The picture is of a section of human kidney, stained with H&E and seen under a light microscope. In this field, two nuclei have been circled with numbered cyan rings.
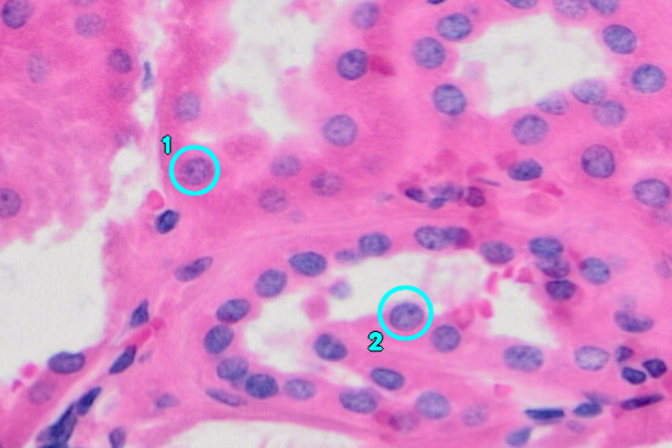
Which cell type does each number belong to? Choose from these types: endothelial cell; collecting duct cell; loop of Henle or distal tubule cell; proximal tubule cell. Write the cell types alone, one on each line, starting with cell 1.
proximal tubule cell
loop of Henle or distal tubule cell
